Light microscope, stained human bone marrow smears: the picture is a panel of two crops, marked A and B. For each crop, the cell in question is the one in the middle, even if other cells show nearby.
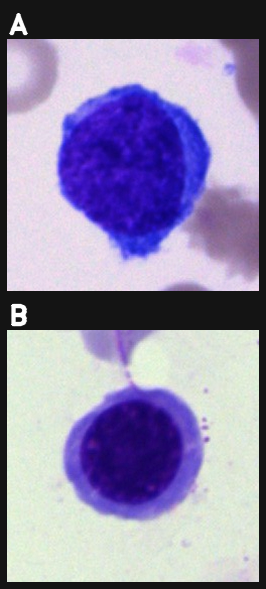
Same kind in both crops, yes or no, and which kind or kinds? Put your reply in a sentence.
No, in crop A the cell is a blast, and in crop B it is a normoblast.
